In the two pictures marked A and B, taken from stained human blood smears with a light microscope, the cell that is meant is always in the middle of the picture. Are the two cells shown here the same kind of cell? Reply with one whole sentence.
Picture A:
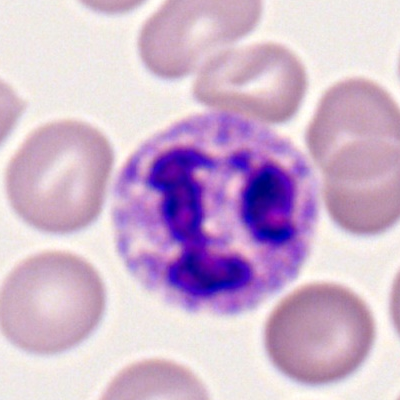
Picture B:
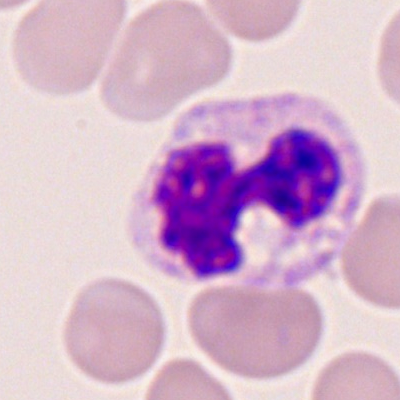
Yes, both cells are segmented neutrophils.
